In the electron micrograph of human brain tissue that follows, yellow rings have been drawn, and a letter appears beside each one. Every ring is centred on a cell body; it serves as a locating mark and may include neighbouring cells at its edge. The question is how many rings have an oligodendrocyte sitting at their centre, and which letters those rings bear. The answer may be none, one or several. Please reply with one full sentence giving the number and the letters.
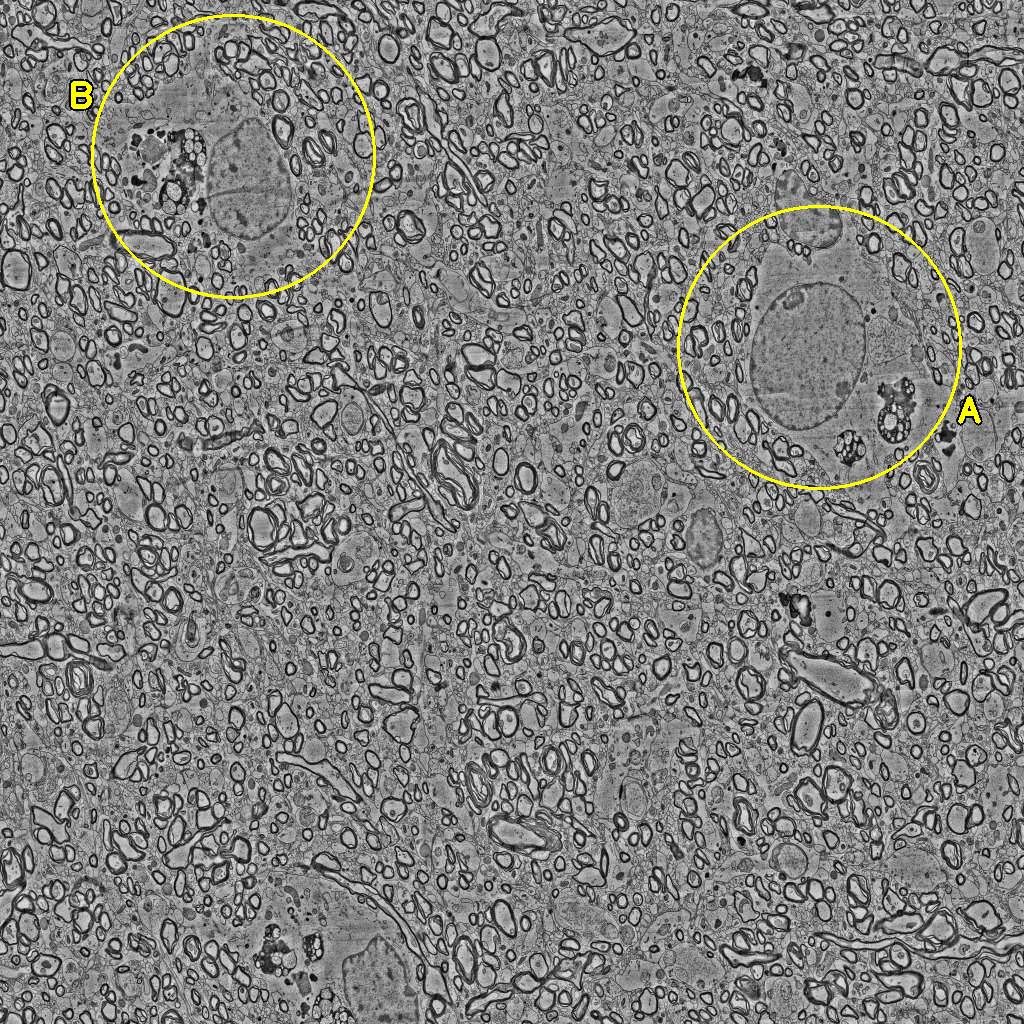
Rings centred on an oligodendrocyte are absent from the micrograph, putting the count at zero.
